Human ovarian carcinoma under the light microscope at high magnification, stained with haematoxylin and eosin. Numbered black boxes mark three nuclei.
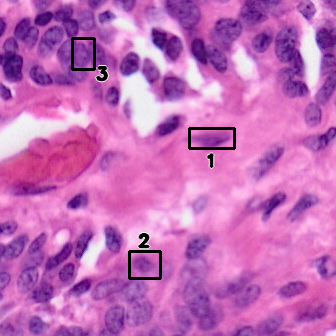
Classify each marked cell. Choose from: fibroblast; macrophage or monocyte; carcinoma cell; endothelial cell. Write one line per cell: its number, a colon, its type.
1: fibroblast
2: carcinoma cell
3: carcinoma cell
